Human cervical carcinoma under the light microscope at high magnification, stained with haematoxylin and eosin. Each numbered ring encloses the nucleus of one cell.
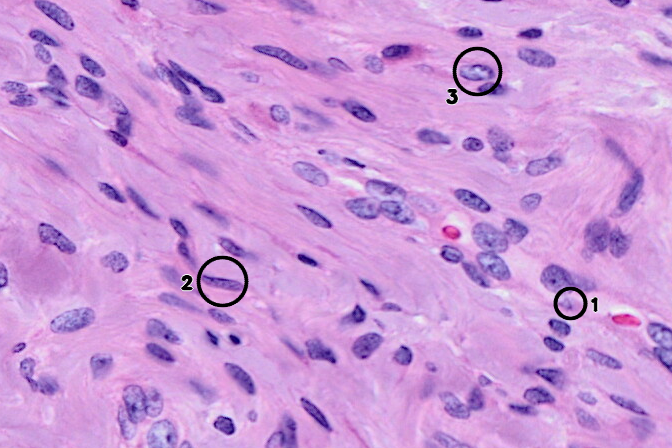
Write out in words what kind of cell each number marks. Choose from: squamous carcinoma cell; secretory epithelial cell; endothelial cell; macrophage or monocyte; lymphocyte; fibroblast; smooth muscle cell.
Cell 1 is an endothelial cell, cell 2 is a fibroblast and cell 3 is an endothelial cell.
